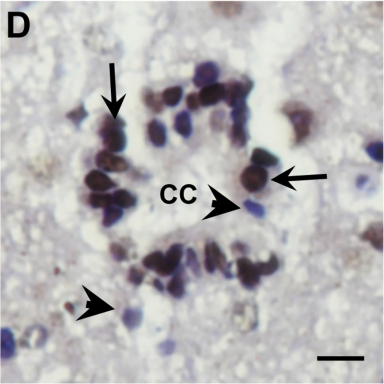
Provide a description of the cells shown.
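Ependymal cells form a tight ring around a small central lumen in the spinal cord. Their nuclei are oval to rounded, closely packed, and stained dark brown to blackish. Scattered cells in the surrounding tissue carry either brown nuclei or small pale blue nuclei without brown stain. The neuropil around the ring is pale and finely vacuolated.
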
